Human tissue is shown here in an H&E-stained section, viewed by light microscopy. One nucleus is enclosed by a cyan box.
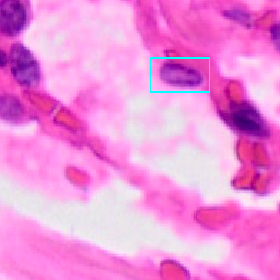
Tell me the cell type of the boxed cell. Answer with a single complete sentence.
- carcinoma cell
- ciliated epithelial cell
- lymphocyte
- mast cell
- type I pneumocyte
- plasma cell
It is a type I pneumocyte that the boxed cell represents.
